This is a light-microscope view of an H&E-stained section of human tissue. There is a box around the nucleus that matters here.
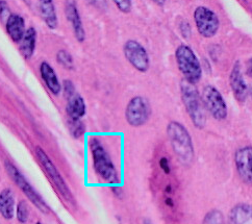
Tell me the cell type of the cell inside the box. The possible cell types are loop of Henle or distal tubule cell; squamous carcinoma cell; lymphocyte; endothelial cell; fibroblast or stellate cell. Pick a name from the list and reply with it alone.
squamous carcinoma cell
